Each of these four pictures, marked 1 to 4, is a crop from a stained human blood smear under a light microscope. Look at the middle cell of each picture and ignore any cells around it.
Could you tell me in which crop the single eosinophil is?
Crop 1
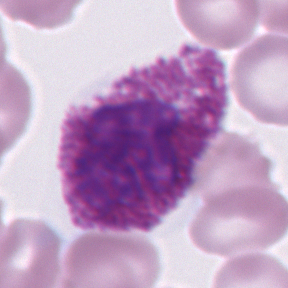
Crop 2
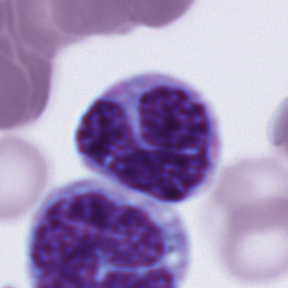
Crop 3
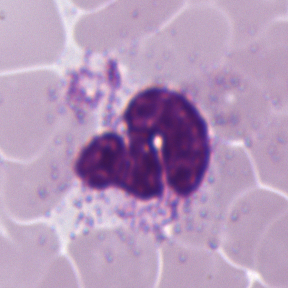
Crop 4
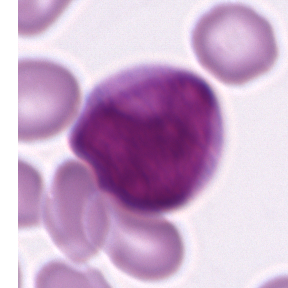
1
